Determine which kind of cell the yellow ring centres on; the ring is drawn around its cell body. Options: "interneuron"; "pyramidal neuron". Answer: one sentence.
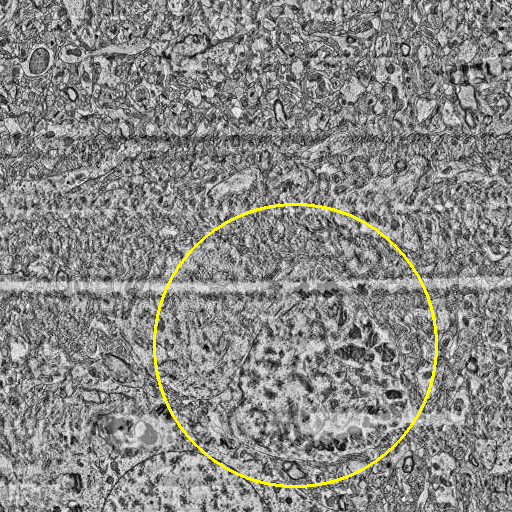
The ring centres on an interneuron.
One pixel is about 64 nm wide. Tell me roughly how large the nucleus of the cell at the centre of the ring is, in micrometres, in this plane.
Roughly 9 by 6 micrometres is the size of the nucleus in this plane.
